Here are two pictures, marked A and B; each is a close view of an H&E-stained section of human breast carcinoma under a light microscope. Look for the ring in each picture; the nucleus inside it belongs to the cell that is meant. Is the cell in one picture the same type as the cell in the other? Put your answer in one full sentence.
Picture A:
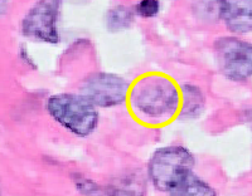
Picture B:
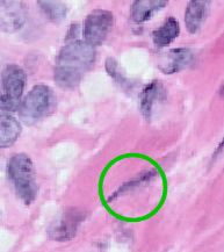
No, picture A shows a carcinoma cell and picture B shows a fibroblast.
